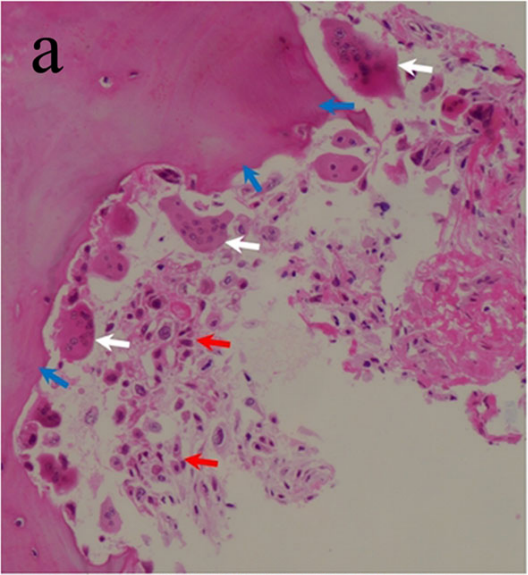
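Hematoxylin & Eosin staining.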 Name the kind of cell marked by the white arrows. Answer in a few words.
Multinucleated giant cells.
